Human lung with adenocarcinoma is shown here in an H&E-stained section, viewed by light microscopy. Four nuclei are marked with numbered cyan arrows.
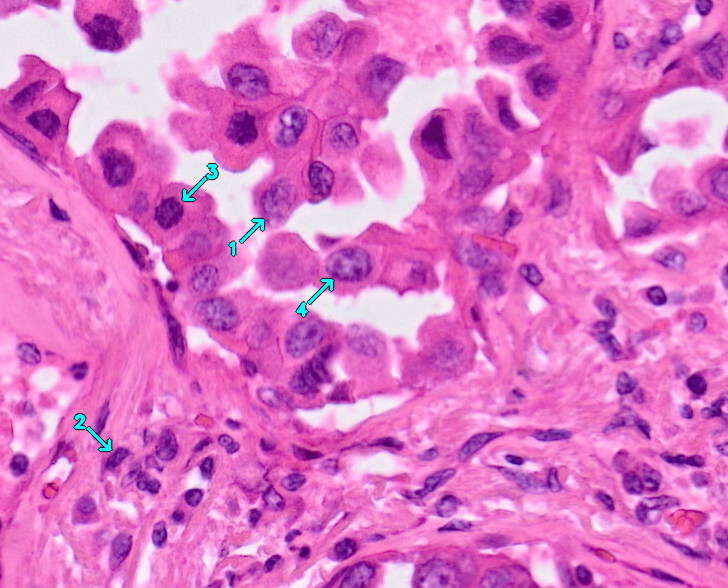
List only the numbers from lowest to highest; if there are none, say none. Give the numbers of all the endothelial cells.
none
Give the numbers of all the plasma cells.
2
